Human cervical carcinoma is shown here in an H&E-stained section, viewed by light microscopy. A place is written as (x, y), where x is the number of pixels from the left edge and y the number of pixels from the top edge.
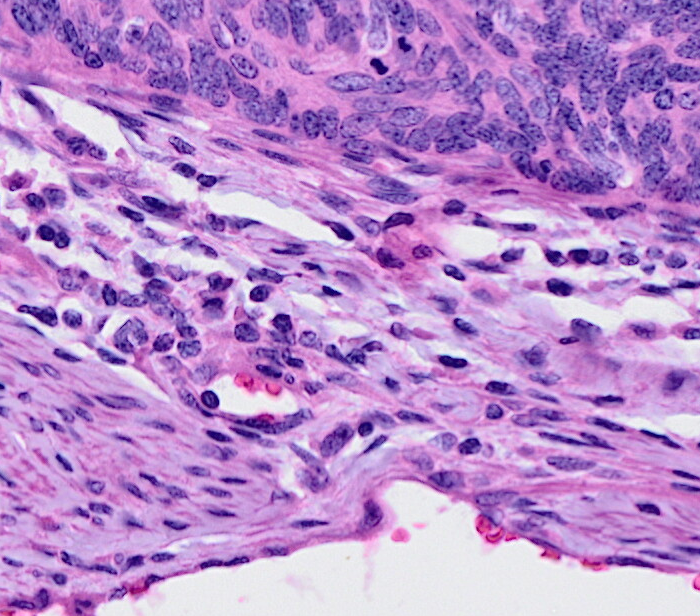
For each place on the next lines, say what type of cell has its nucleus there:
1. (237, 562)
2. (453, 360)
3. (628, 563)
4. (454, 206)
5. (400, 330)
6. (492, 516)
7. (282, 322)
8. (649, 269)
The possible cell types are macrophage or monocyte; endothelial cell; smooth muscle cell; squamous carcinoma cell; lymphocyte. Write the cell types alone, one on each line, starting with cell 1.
endothelial cell
lymphocyte
endothelial cell
lymphocyte
macrophage or monocyte
endothelial cell
lymphocyte
lymphocyte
